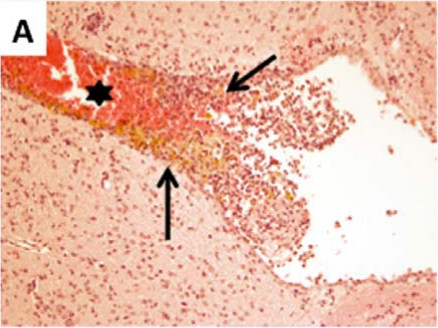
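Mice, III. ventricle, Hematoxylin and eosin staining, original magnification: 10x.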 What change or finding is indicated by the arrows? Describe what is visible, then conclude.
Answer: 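Where the arrows point, cells are mixed with scattered golden-yellow pigment. Beside this lies a mass of intact red erythrocytes.
Elder bleedings.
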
